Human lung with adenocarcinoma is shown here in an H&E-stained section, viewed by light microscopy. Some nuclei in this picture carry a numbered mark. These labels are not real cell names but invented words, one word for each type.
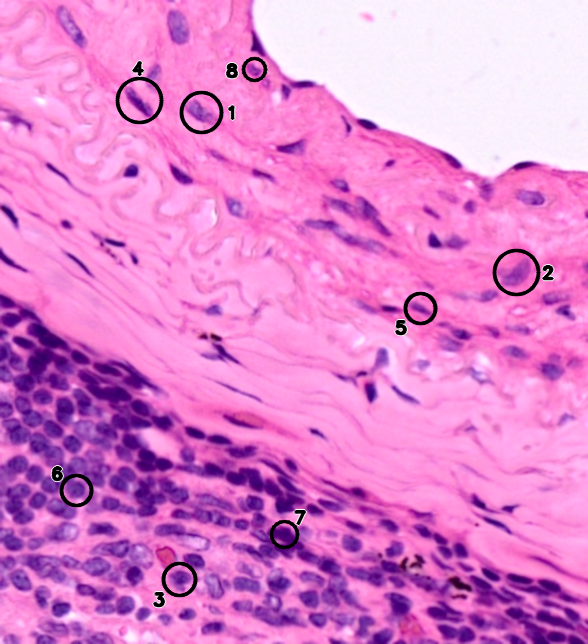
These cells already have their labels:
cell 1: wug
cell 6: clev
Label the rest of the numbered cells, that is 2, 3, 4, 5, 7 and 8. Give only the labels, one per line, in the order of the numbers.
wug
clev
wug
wug
clev
wug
